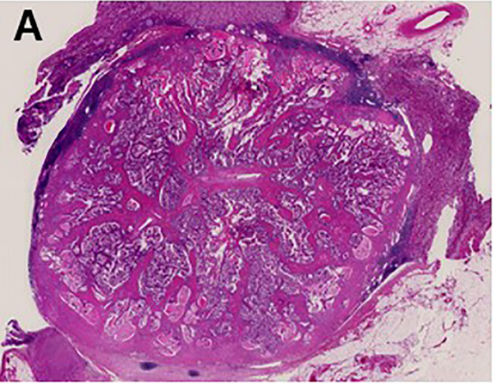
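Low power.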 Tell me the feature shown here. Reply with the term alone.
Thick fibrous stroma.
